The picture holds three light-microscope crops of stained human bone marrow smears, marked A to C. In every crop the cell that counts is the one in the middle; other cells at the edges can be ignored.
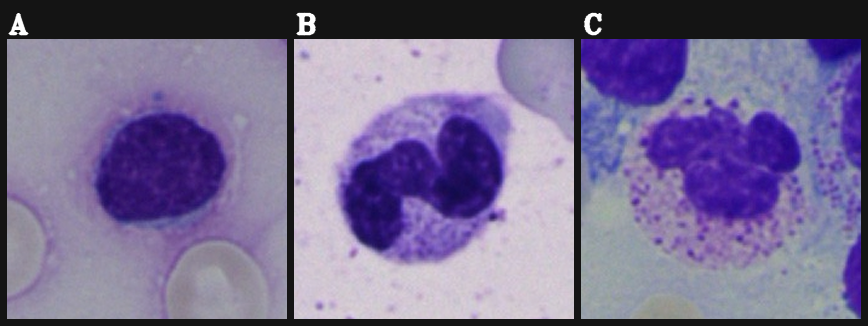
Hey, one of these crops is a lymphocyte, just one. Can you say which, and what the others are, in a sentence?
Regarding crop A, it shows a lymphocyte, while crop B is a segmented neutrophil and crop C is a basophil.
